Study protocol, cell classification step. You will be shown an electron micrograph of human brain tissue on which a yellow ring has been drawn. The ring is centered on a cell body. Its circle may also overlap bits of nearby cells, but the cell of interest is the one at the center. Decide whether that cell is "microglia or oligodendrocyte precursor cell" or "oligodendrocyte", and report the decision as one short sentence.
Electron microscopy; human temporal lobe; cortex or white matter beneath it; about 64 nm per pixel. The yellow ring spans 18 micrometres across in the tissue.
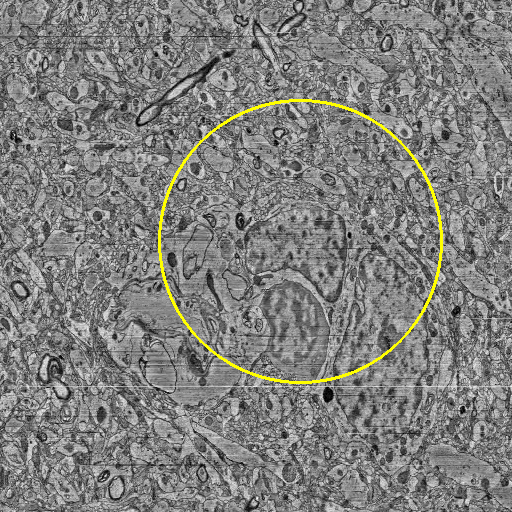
The marked cell is a microglial cell or oligodendrocyte precursor cell.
